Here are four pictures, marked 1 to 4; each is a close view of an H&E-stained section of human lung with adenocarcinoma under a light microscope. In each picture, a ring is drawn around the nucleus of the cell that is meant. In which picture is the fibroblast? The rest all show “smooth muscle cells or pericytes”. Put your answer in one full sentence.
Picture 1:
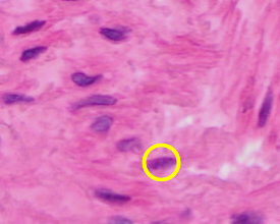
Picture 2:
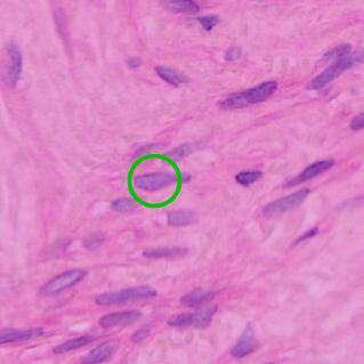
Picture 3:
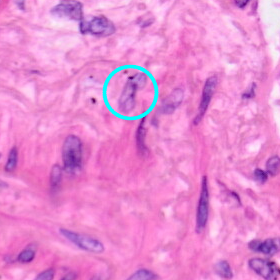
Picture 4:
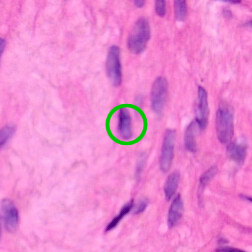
It is picture 3 that shows the fibroblast.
